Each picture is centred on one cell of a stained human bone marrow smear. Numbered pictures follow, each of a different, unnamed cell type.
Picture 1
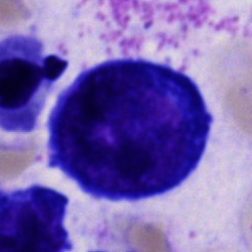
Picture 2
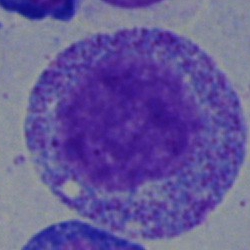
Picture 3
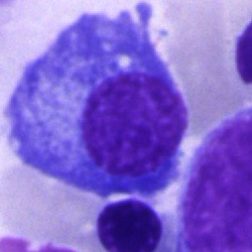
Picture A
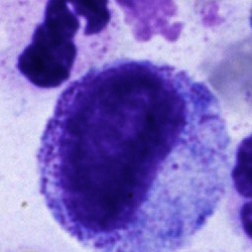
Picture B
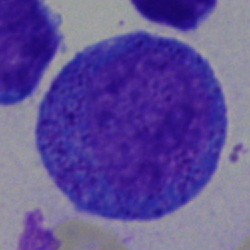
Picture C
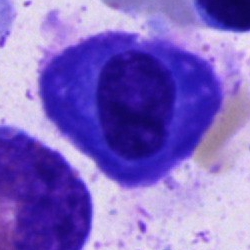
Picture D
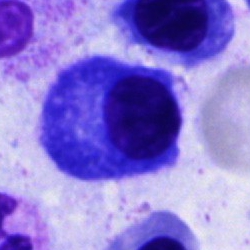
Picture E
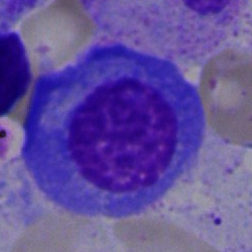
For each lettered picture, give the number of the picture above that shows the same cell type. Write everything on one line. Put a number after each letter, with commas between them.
A 2, B 2, C 3, D 3, E 3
